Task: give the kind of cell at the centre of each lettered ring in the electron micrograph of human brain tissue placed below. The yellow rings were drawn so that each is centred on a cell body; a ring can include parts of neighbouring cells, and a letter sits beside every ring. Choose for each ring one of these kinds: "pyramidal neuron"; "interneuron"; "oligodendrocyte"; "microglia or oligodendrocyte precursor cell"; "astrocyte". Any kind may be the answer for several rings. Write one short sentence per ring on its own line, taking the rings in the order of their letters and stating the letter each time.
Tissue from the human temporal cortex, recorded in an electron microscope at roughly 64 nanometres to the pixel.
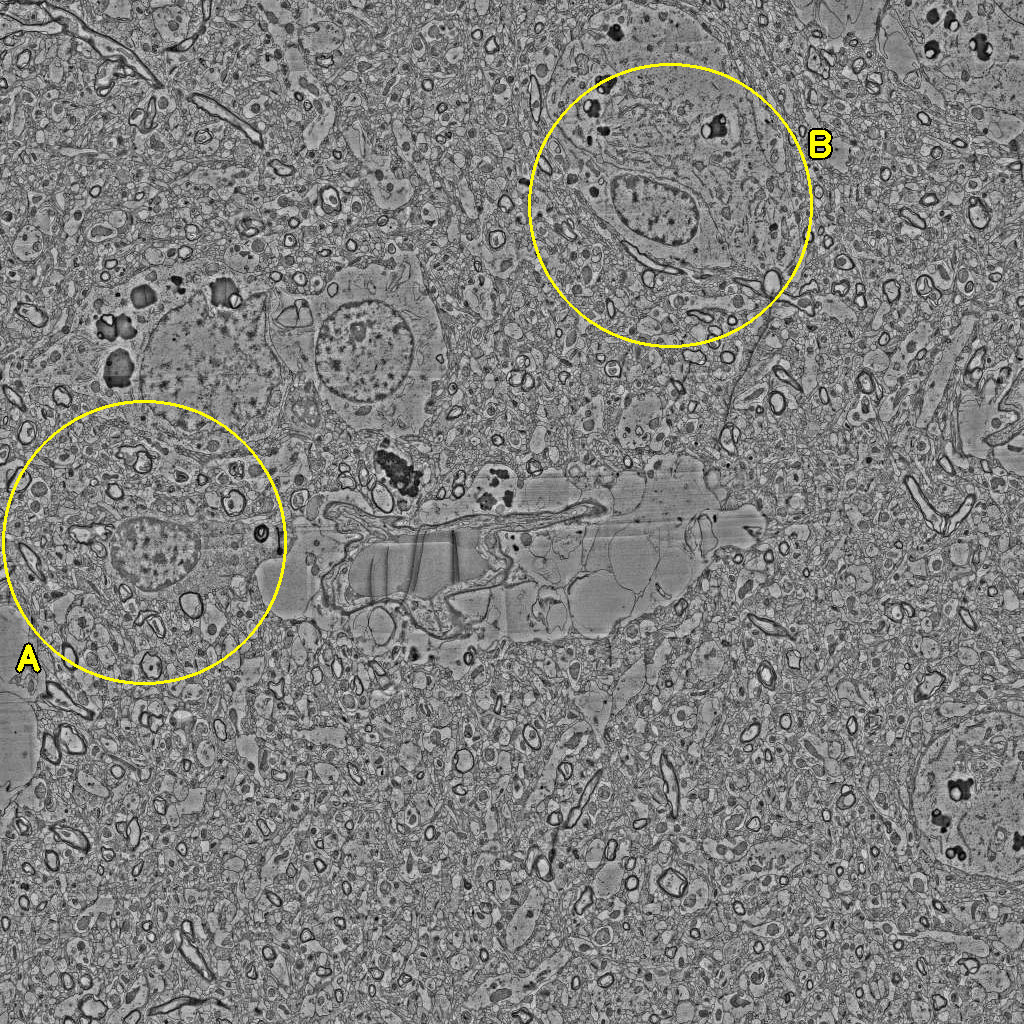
The yellow ring marked A surrounds an oligodendrocyte.
The yellow ring marked B surrounds a microglial cell or oligodendrocyte precursor cell.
